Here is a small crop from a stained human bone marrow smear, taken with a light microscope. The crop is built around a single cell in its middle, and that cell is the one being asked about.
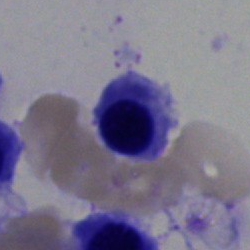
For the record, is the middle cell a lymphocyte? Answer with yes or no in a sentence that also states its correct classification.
No, the cell positioned in the middle is an erythroblast, not a lymphocyte.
